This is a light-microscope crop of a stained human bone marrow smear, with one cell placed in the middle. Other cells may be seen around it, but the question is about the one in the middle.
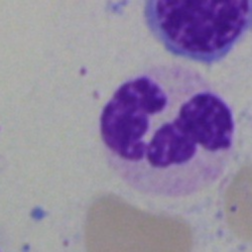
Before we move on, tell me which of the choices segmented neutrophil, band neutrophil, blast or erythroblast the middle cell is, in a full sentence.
The cell found in the middle of this crop is a segmented neutrophil.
